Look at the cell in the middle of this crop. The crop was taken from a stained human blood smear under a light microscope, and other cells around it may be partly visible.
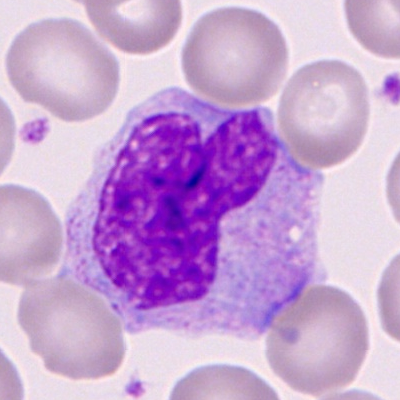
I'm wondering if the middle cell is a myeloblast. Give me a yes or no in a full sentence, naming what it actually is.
No, this one is a monocyte; it is not a myeloblast.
